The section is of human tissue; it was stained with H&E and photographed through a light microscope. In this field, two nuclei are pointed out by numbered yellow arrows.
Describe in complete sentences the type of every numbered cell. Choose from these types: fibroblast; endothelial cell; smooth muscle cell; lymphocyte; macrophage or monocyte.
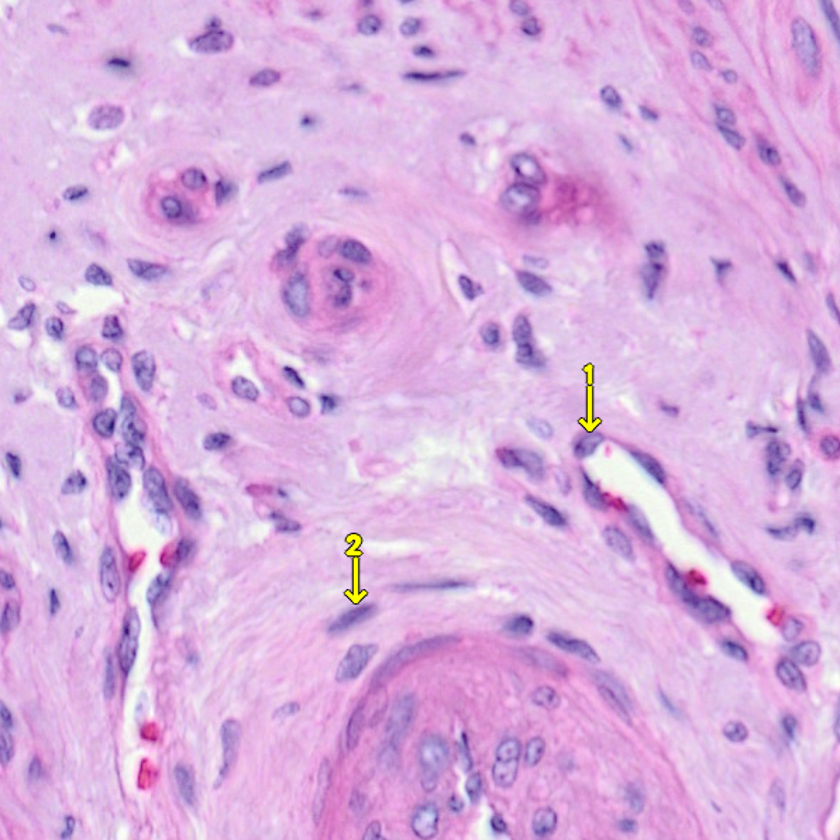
Cell 1 is an endothelial cell and cell 2 is a fibroblast.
